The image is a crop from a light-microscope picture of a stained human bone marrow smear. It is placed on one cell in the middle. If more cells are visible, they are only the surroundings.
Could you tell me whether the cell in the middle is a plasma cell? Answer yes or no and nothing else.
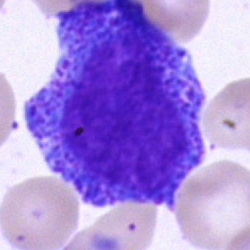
no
